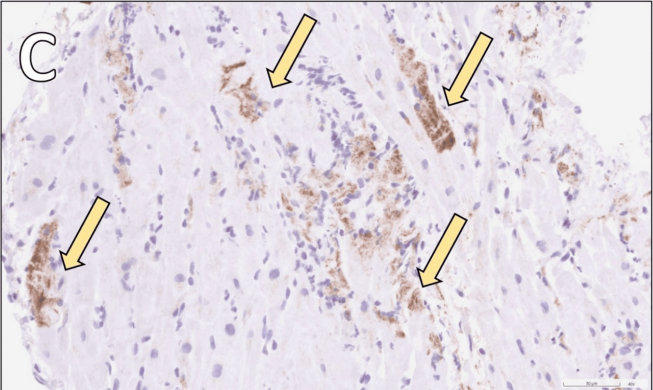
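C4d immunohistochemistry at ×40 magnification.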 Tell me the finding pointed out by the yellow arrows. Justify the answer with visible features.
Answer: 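The arrows point to muscle fibres filled with brown stain. Most other fibres are pale, unstained. The brown fibres lie among scattered blue nuclei.
Answer: areas of recent myocardial necrosis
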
